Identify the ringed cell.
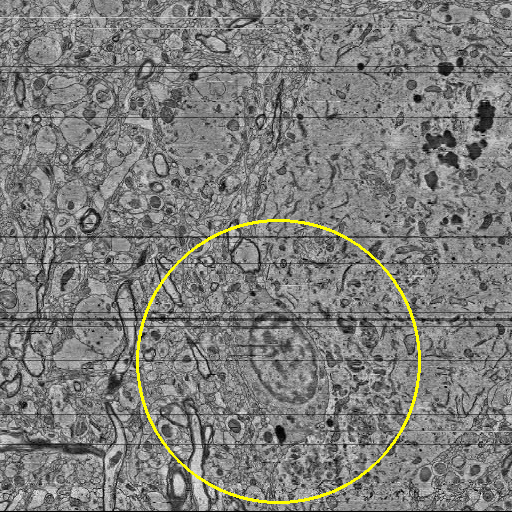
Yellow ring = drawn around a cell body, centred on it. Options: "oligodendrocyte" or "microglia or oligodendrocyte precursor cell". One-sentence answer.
What the ring is centred on is an oligodendrocyte.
